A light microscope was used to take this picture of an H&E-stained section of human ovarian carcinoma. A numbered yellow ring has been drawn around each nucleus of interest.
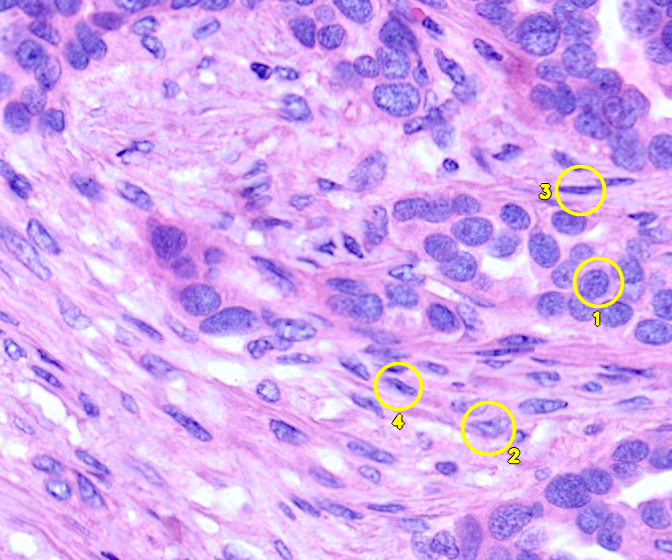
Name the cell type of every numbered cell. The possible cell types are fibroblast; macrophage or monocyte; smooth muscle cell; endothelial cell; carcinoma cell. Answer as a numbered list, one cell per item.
1. carcinoma cell
2. fibroblast
3. fibroblast
4. fibroblast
